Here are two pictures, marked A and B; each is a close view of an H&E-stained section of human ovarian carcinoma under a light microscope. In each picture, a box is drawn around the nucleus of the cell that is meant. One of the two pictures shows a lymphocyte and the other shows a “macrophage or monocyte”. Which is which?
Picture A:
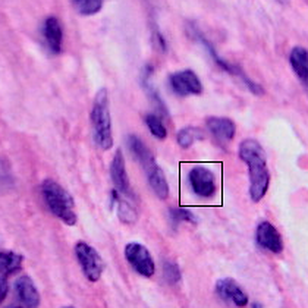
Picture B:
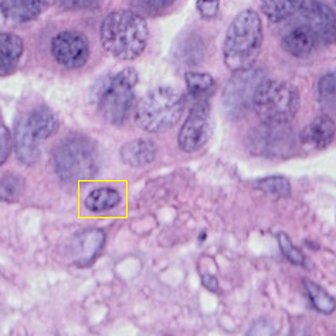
A: lymphocyte
B: macrophage or monocyte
